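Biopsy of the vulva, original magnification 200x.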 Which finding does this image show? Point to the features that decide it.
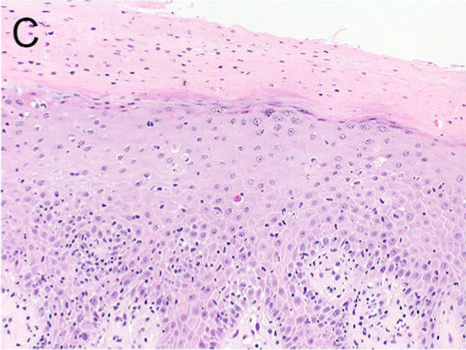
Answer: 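Parakeratosis. A thick compact pink cornified layer lies on the surface. Small flattened nuclei are retained within the cornified layer.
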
